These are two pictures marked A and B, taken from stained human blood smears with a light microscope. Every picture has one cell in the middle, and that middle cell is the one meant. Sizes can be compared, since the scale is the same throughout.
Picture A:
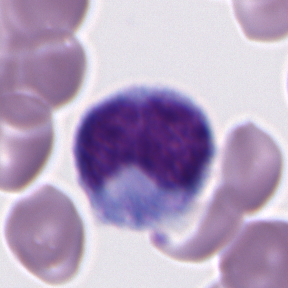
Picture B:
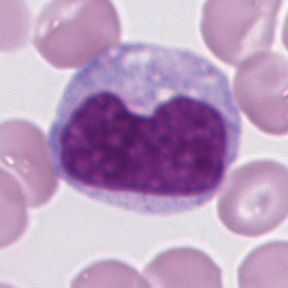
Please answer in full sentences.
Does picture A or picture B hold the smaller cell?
Smaller is the cell in picture A, and the other is about 1.5 times as large in area.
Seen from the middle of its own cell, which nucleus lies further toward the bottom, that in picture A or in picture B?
It is the nucleus in picture B that lies further toward the bottom of its cell.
